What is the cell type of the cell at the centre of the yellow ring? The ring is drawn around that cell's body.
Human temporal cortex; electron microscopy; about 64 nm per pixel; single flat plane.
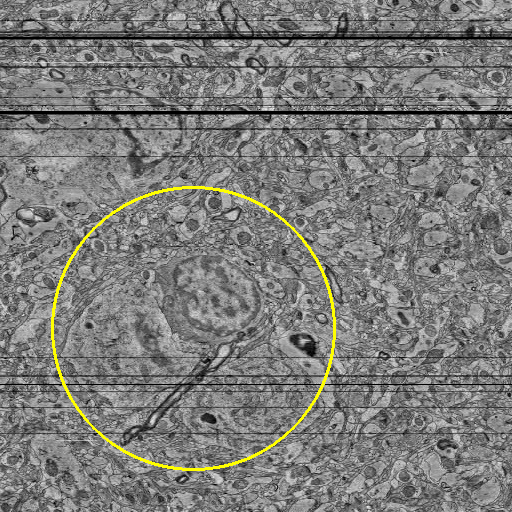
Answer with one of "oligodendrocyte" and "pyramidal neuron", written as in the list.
oligodendrocyte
